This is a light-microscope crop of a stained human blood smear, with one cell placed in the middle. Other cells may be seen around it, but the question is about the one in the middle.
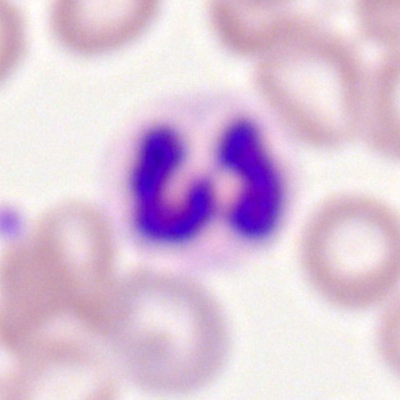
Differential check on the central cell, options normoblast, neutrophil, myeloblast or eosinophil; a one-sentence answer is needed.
For this crop, the cell in the middle is a neutrophil.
